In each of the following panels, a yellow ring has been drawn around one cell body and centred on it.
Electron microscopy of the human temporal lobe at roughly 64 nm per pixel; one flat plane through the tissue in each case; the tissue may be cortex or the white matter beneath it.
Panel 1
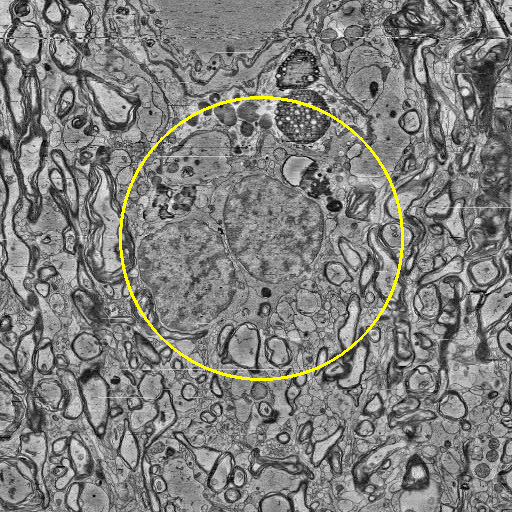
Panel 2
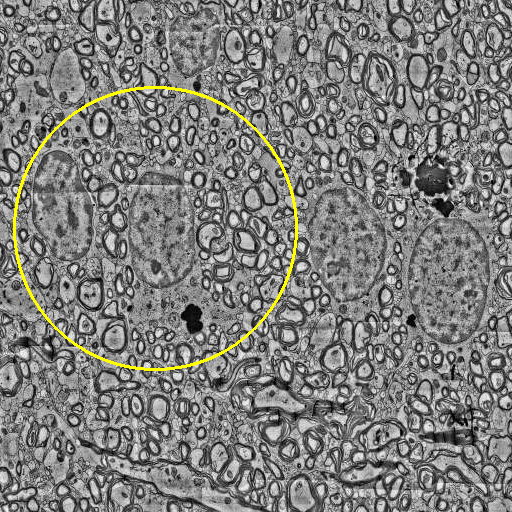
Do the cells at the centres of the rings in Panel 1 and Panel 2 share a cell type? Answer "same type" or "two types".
same type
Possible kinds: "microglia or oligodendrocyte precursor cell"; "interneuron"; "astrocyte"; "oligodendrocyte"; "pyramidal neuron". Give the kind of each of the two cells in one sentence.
The first and the second cell are each an oligodendrocyte.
